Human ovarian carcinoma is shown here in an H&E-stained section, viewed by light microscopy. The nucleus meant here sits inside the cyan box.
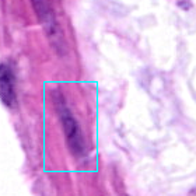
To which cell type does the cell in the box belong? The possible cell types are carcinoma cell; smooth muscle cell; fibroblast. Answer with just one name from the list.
smooth muscle cell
